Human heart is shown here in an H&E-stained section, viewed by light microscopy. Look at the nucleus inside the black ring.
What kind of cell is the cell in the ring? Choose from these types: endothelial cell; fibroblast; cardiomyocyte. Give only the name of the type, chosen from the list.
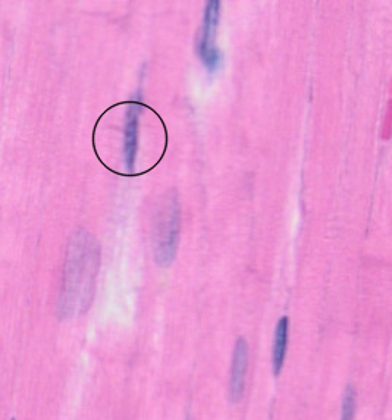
endothelial cell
